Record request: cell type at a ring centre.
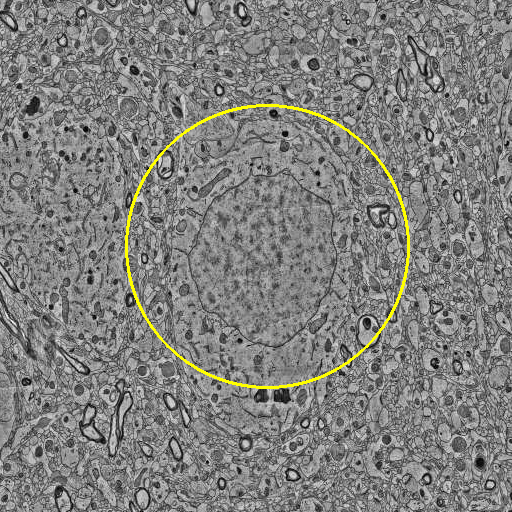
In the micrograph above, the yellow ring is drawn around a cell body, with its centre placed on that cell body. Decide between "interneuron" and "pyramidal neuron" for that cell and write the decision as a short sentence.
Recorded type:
The cell centred in the yellow ring is a pyramidal neuron.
